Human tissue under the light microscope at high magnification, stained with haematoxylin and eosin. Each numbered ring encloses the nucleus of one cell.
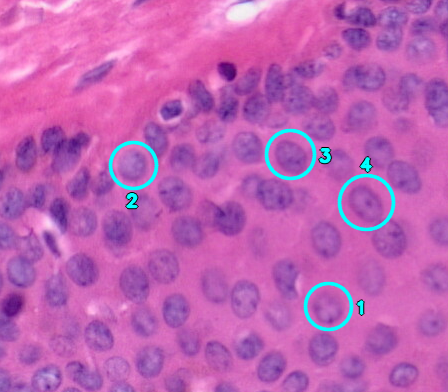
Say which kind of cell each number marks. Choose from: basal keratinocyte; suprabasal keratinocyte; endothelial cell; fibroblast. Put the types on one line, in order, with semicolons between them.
suprabasal keratinocyte; basal keratinocyte; suprabasal keratinocyte; suprabasal keratinocyte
